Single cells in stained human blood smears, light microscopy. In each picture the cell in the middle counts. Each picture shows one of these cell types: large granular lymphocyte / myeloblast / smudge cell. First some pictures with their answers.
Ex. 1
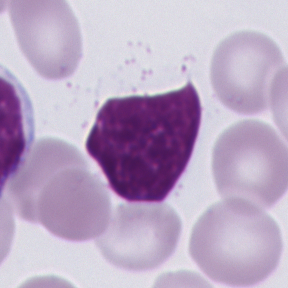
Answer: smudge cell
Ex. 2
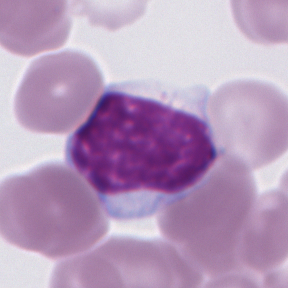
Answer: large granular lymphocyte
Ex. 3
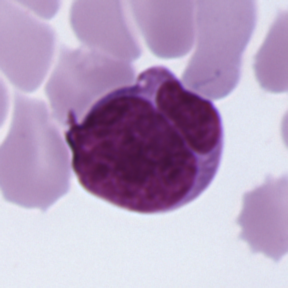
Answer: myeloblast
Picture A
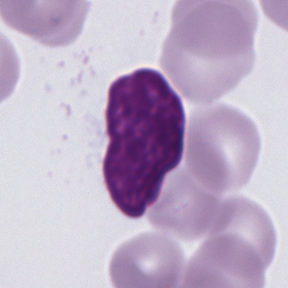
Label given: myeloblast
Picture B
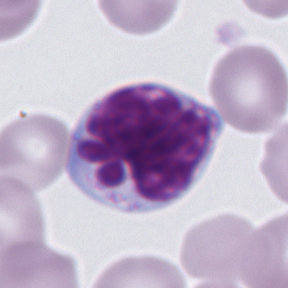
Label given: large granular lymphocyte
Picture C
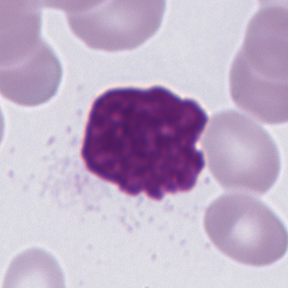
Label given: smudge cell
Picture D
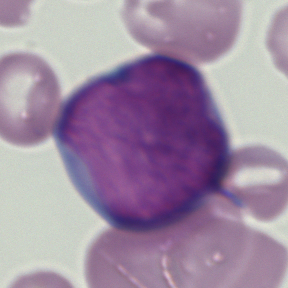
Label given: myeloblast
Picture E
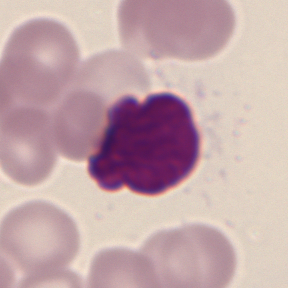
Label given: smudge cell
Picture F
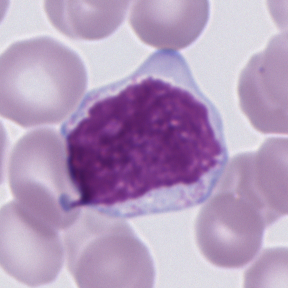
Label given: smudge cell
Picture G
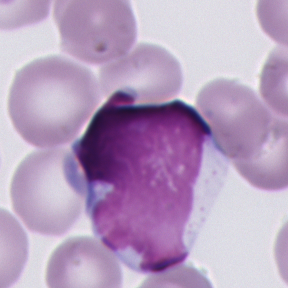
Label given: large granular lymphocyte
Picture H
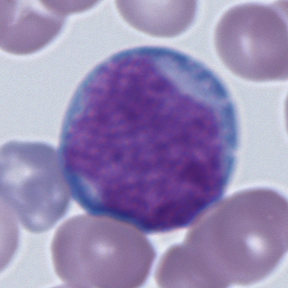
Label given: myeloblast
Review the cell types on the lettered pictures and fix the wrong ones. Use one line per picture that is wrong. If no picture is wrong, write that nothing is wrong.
A: change myeloblast to smudge cell
F: change smudge cell to large granular lymphocyte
